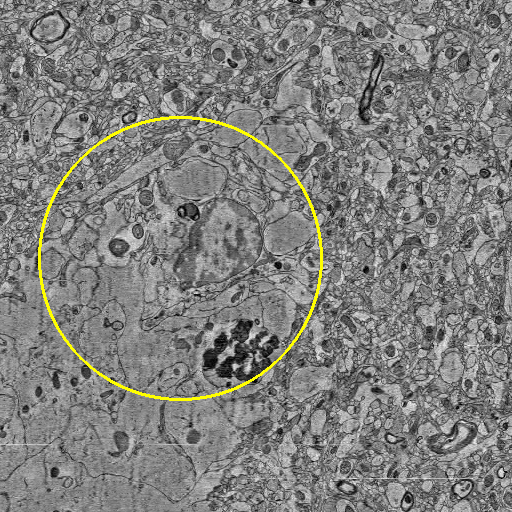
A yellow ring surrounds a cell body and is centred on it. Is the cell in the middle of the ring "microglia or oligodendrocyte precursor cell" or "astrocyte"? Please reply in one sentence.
The ring is centred on a microglial cell or oligodendrocyte precursor cell.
